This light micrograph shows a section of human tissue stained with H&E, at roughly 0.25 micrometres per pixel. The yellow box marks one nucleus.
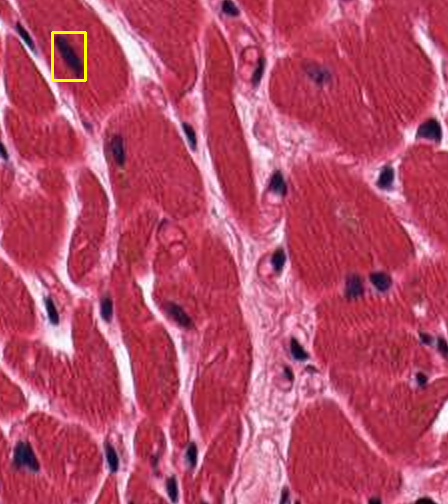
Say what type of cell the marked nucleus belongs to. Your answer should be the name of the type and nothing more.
cardiomyocyte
